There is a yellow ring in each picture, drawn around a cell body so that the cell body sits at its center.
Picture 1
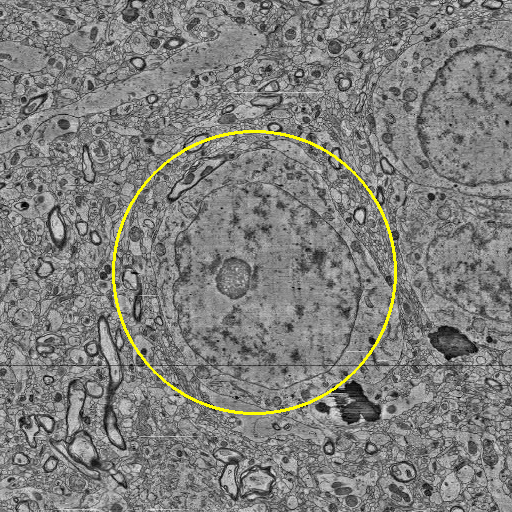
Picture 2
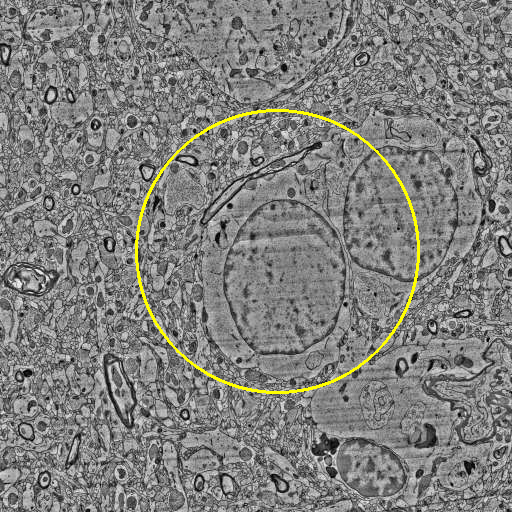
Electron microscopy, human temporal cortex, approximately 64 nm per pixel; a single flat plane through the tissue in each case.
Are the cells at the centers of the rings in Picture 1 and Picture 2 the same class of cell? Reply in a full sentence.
No, the two cells are two classes of cell.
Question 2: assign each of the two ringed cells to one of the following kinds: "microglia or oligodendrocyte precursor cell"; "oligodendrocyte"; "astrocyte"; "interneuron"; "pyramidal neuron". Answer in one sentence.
The two cells are a pyramidal neuron in the first picture and an astrocyte in the second.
